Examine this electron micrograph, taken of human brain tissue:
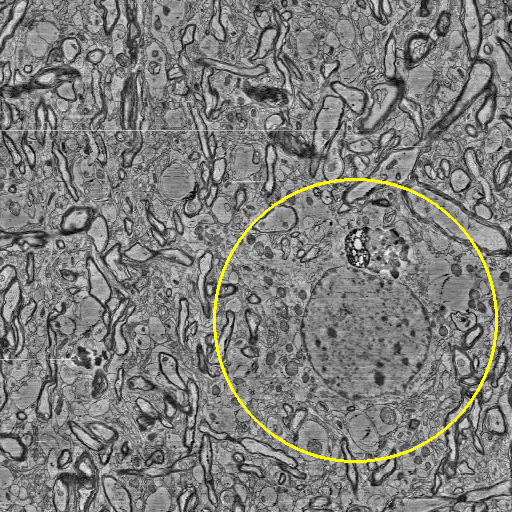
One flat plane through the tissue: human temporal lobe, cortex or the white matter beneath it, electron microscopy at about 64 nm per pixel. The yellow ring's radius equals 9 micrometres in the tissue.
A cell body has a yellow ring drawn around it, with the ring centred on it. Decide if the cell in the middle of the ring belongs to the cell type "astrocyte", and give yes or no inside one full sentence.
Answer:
Yes, the cell at the centre of the yellow ring in this picture is of that type.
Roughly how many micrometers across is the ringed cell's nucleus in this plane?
The nucleus appears about 9 micrometres across in this plane.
